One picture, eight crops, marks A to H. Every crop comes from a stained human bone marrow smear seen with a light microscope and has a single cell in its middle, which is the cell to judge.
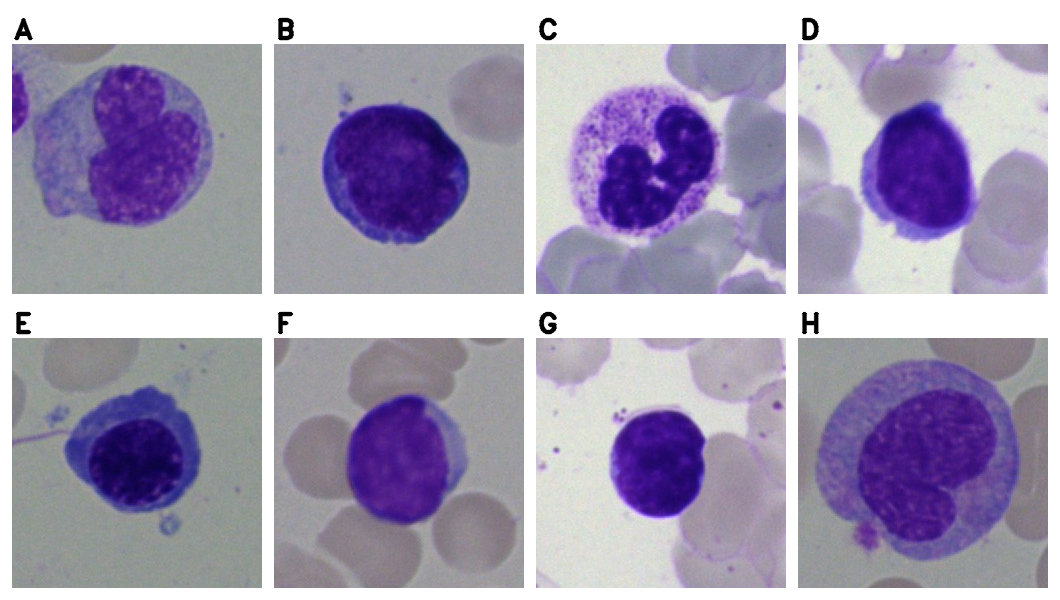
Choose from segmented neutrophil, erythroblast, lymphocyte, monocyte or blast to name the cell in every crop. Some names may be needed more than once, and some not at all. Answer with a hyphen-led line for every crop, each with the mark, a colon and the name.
- A: monocyte
- B: blast
- C: segmented neutrophil
- D: lymphocyte
- E: erythroblast
- F: lymphocyte
- G: lymphocyte
- H: monocyte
